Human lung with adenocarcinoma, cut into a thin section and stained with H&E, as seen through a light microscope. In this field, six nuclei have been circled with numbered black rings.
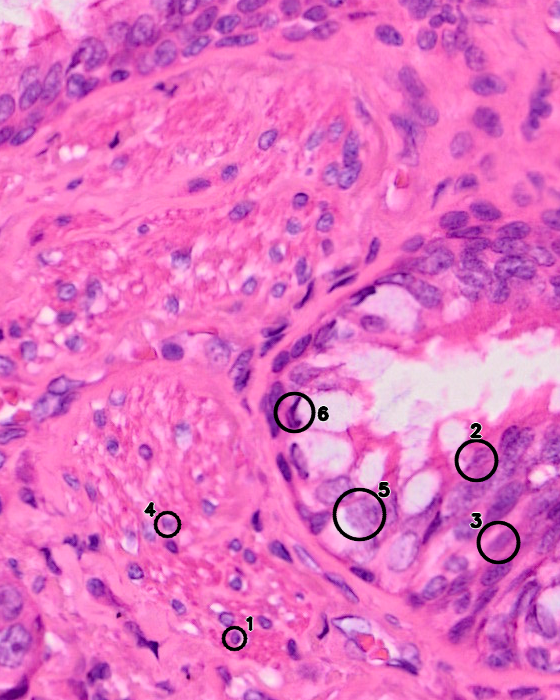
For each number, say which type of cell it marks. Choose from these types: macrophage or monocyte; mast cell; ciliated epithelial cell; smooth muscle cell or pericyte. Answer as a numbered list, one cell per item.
1. smooth muscle cell or pericyte
2. ciliated epithelial cell
3. ciliated epithelial cell
4. smooth muscle cell or pericyte
5. ciliated epithelial cell
6. ciliated epithelial cell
